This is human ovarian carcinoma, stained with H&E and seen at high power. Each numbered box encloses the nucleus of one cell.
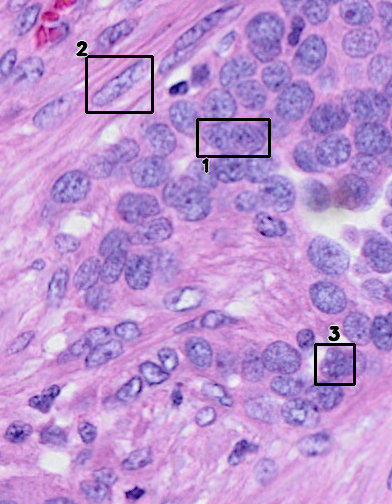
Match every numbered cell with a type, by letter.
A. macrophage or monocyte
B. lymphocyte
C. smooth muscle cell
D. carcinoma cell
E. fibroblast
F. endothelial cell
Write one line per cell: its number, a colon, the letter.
1: D
2: E
3: D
